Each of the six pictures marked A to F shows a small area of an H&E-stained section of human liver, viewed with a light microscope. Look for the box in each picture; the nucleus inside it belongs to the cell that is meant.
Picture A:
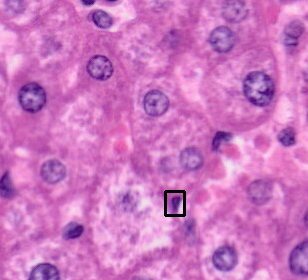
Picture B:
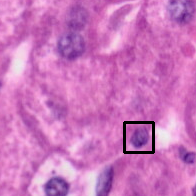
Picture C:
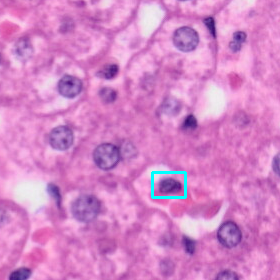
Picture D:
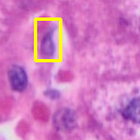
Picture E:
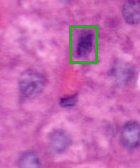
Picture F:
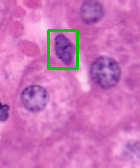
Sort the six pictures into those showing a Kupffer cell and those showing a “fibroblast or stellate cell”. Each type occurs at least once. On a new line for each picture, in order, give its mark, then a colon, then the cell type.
A: fibroblast or stellate cell
B: fibroblast or stellate cell
C: Kupffer cell
D: Kupffer cell
E: fibroblast or stellate cell
F: Kupffer cell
